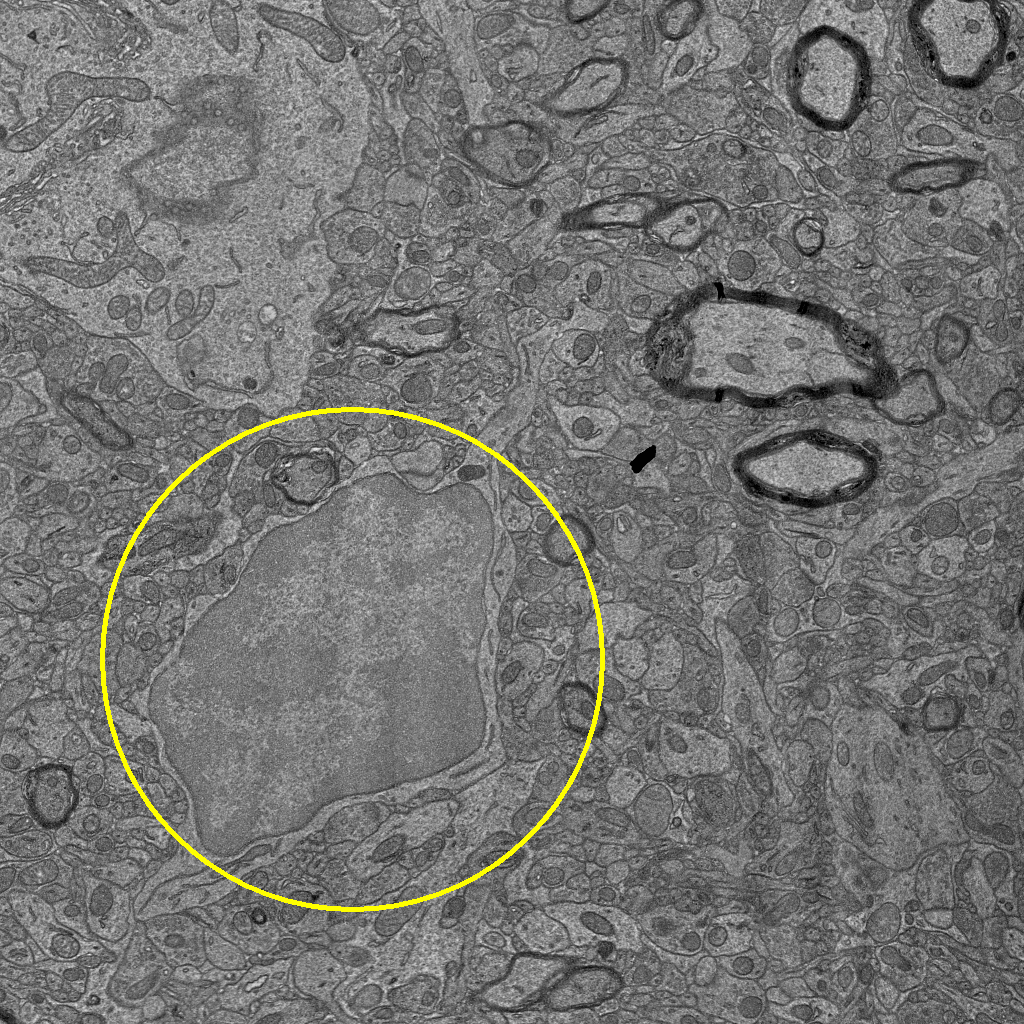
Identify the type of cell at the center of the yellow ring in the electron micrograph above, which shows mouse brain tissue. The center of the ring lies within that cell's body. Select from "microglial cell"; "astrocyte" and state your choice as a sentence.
The center of the yellow ring lies in the body of a microglial cell.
